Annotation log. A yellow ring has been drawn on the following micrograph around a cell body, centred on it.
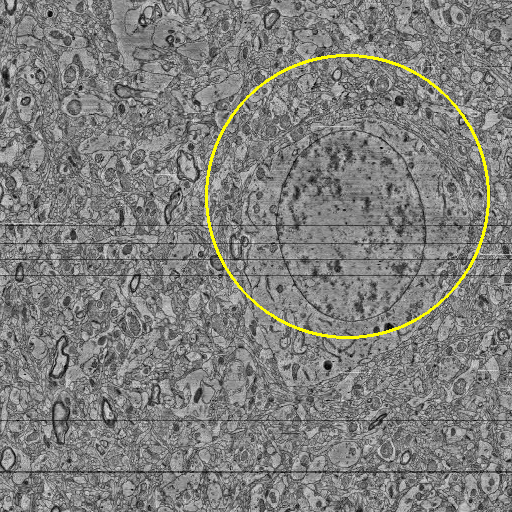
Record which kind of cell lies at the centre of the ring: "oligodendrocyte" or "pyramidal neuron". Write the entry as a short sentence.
The cell the ring is centred on is a pyramidal neuron.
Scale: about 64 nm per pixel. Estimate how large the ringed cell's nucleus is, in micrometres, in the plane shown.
The nucleus has a long axis of about 13 micrometres and a short axis of about 9 micrometres in this plane.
